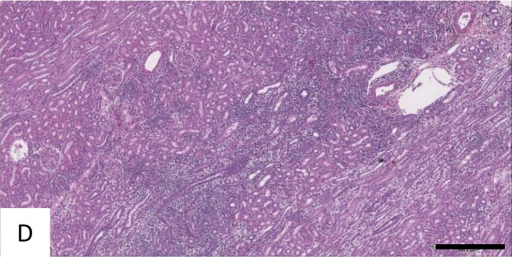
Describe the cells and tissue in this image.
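This is kidney tissue with many pink tubule profiles, a few glomeruli and small vessels. Between the tubules lie dense patches of small round dark purple nuclei of mononuclear cells. These infiltrates surround tubules and widen the interstitium, especially in the lower and middle parts of the field. Elsewhere the tubules are packed closely with little tissue between them.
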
